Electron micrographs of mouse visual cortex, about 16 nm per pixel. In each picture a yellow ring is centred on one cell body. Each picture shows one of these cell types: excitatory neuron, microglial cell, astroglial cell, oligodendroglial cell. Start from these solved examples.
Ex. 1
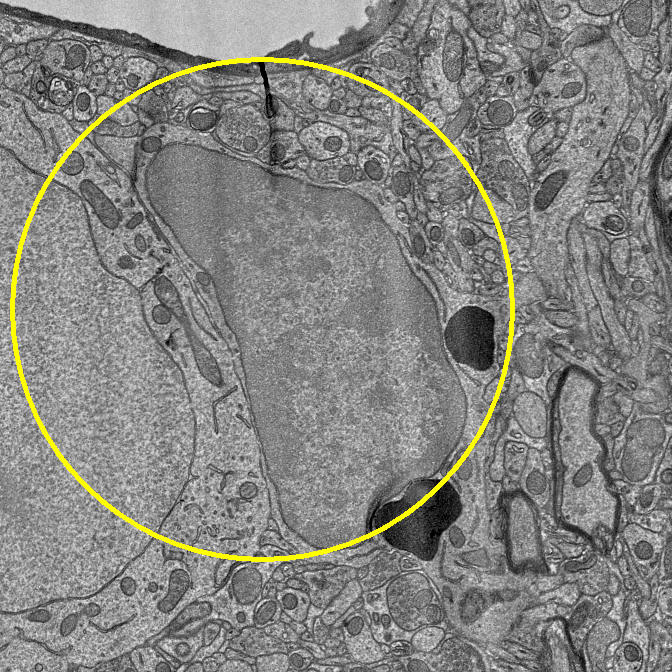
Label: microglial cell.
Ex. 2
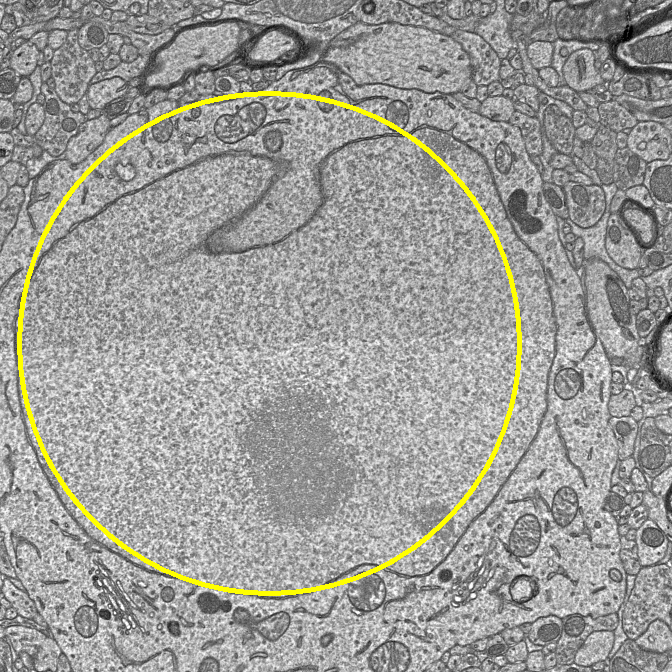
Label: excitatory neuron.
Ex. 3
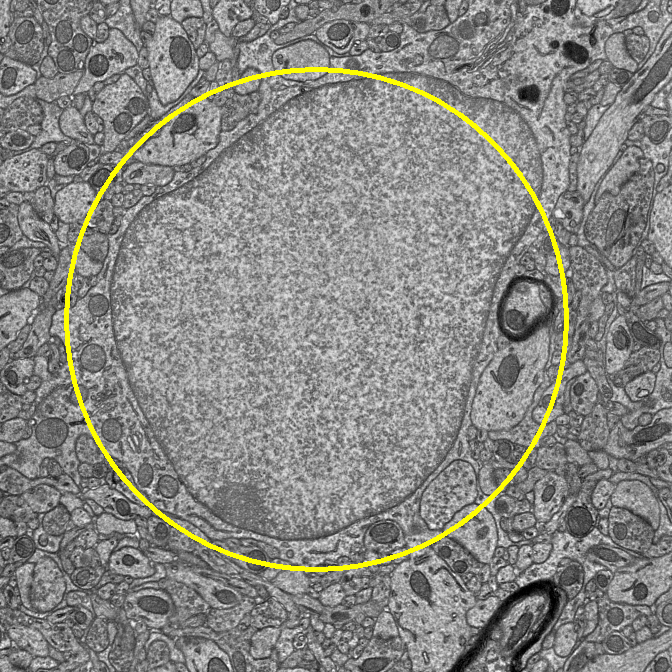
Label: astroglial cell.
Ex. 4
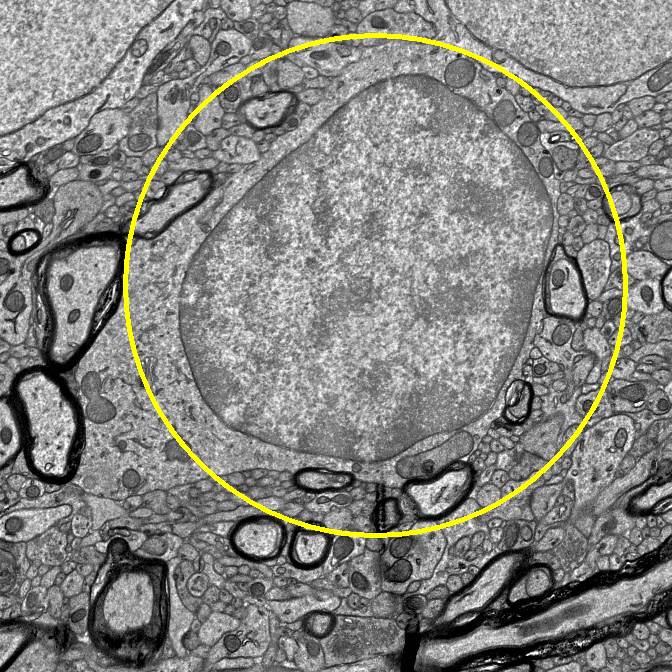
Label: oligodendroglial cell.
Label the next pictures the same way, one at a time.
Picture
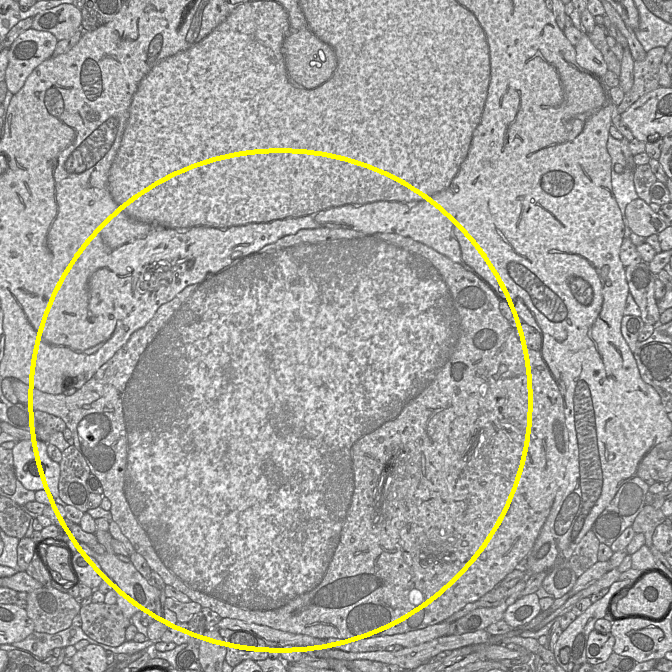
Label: oligodendroglial cell.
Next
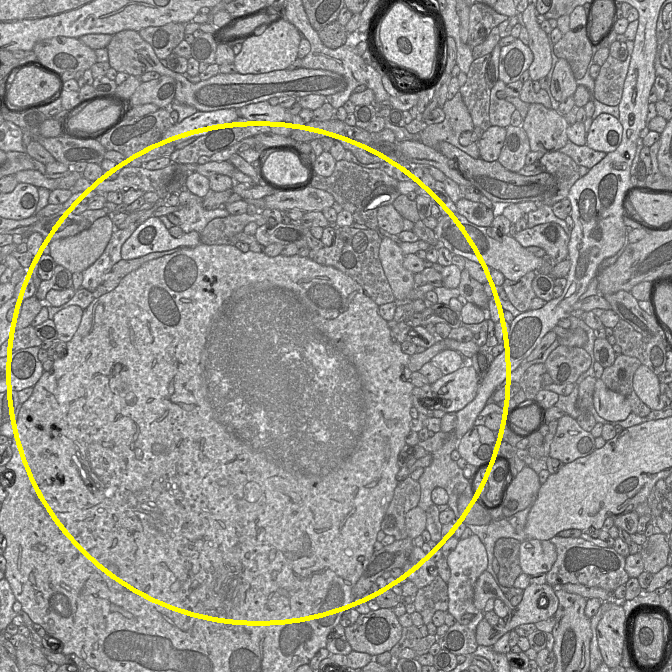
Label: oligodendroglial cell.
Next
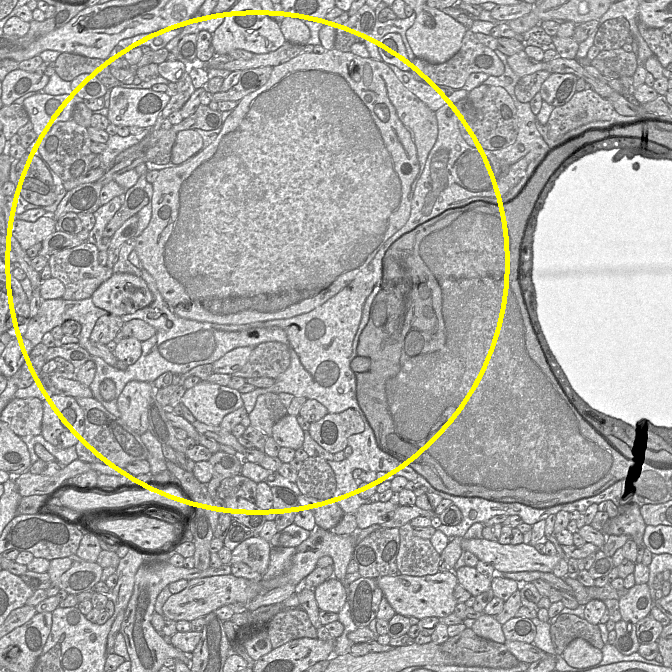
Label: microglial cell.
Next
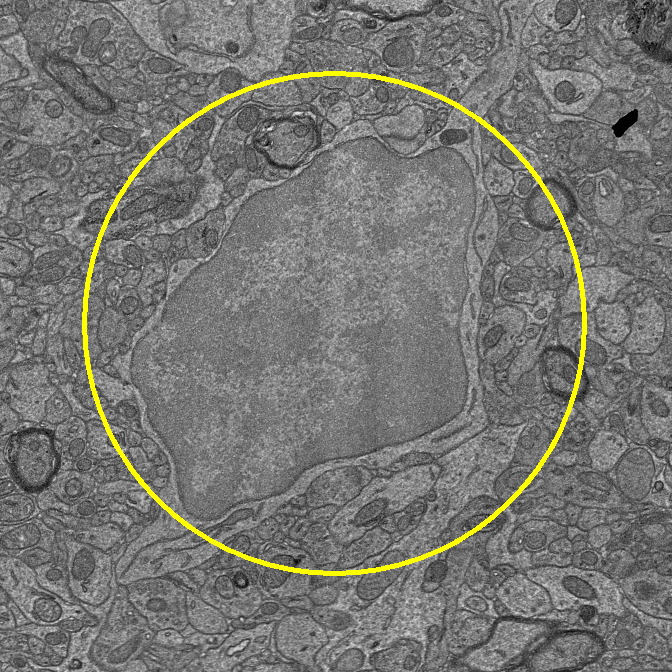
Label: microglial cell.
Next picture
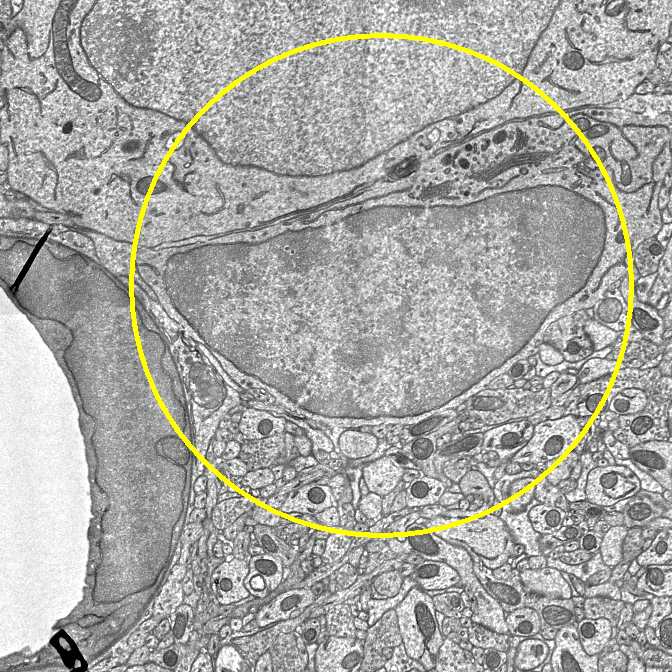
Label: microglial cell.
